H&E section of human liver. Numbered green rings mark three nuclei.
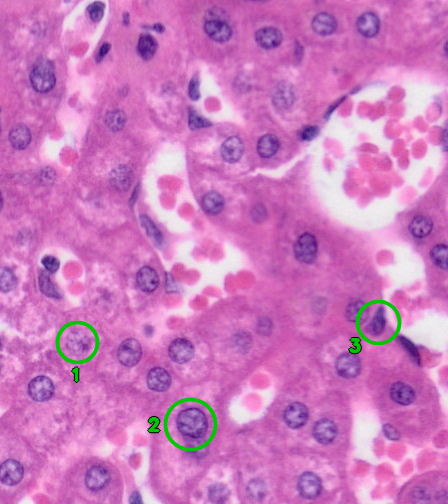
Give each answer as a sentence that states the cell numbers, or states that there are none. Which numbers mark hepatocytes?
The cells numbered 1 and 2 are, by type, hepatocytes.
